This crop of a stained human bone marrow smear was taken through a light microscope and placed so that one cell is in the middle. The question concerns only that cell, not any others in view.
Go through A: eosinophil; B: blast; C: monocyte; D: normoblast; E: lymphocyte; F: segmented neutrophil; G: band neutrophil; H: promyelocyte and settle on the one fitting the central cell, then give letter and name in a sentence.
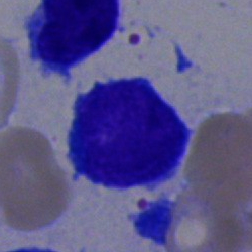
That cell in the center is a blast, hence option B.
